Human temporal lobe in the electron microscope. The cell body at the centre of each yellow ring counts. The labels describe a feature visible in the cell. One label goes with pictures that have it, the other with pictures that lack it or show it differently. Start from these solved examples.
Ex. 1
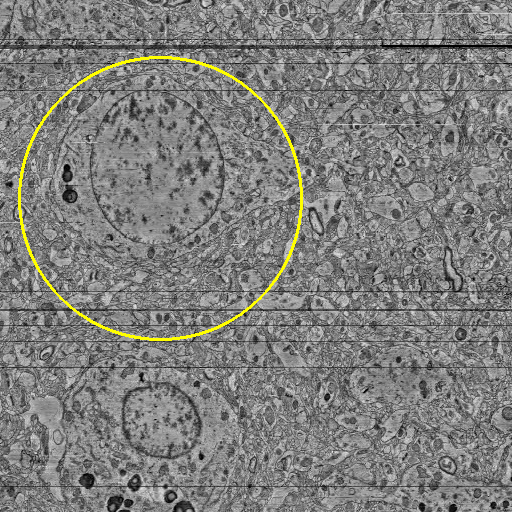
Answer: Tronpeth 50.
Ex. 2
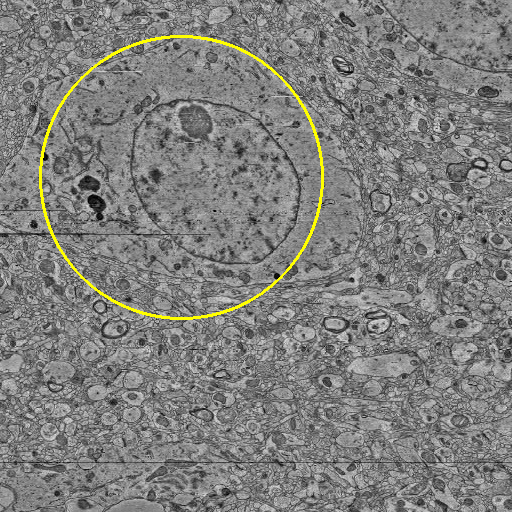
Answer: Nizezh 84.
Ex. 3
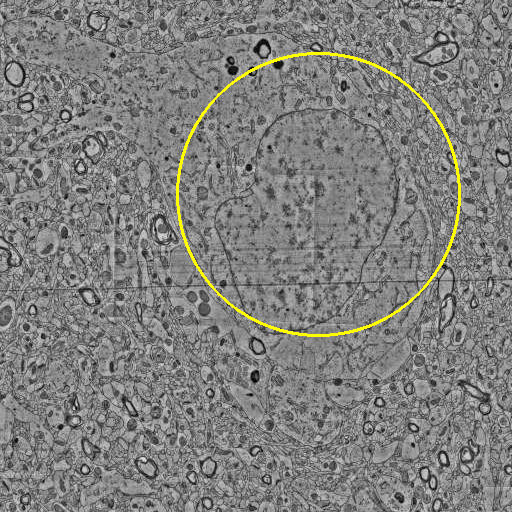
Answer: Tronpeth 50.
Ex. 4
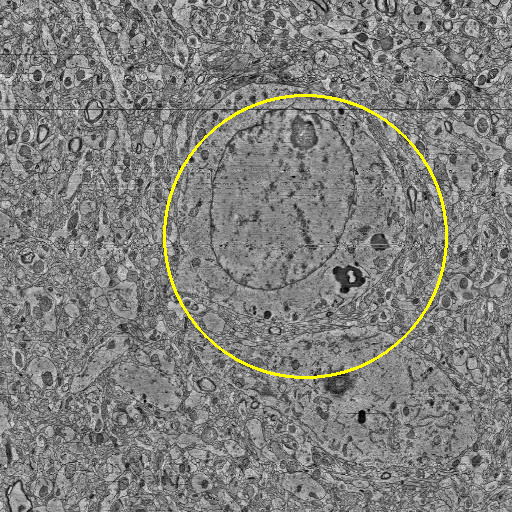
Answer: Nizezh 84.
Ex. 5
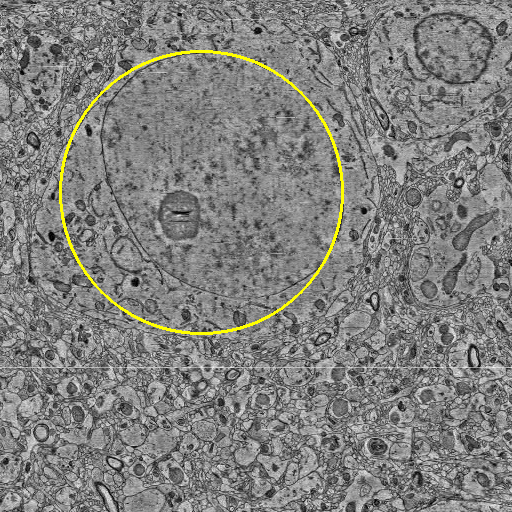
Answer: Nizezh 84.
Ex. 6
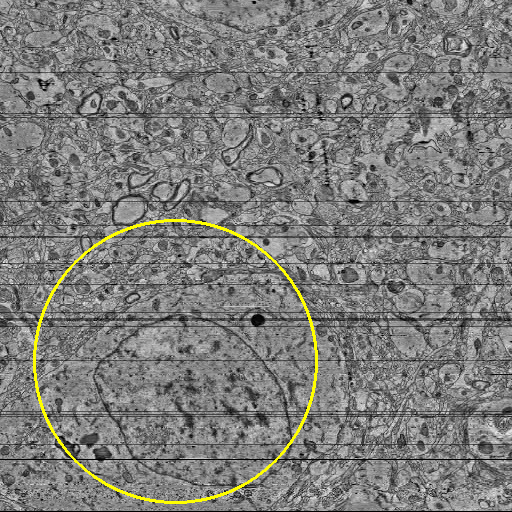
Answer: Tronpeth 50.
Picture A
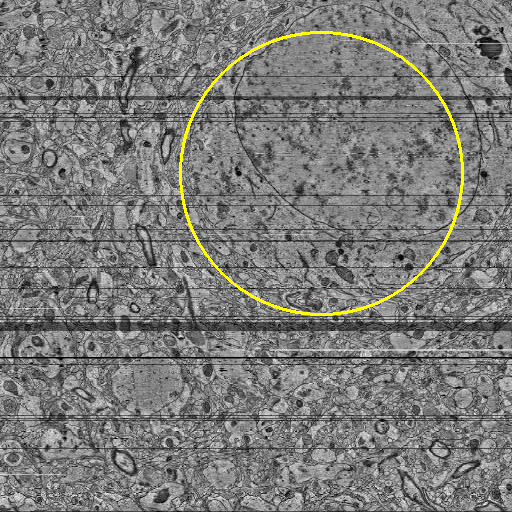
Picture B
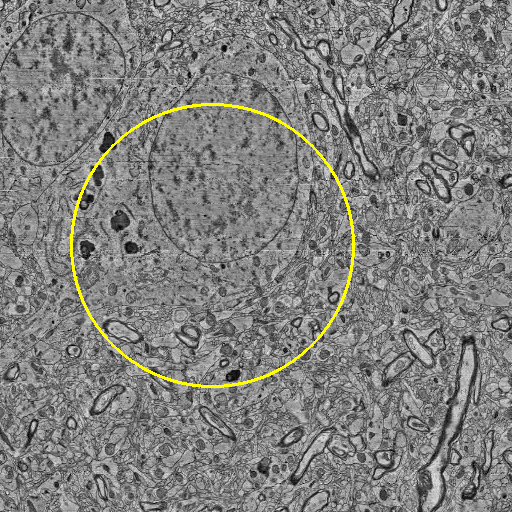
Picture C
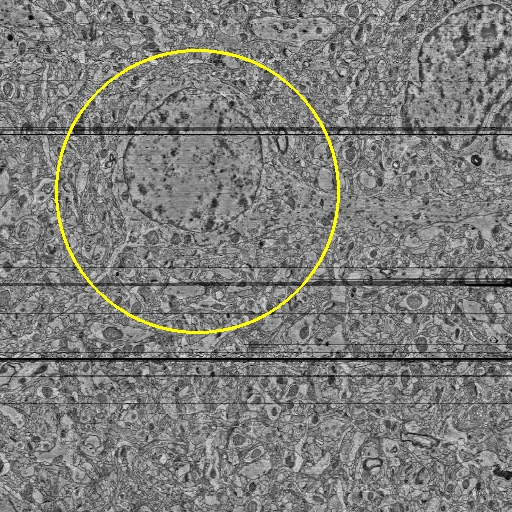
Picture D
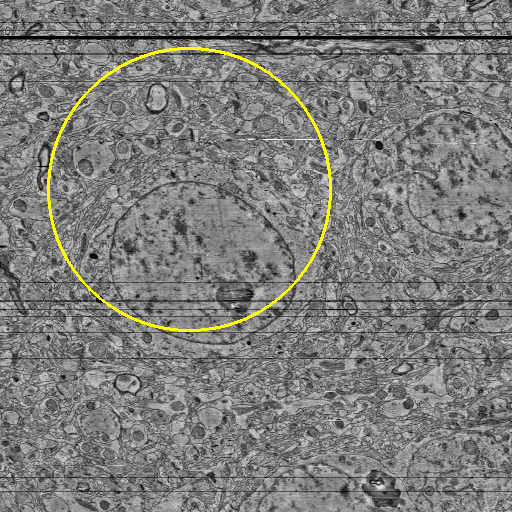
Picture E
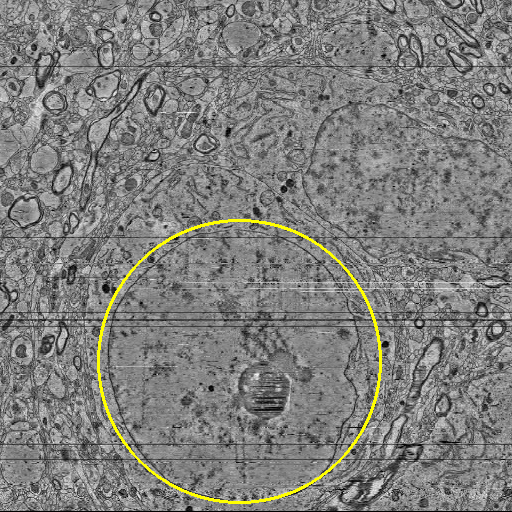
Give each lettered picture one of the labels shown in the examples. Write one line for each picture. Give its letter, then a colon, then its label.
A: Tronpeth 50.
B: Tronpeth 50.
C: Tronpeth 50.
D: Nizezh 84.
E: Nizezh 84.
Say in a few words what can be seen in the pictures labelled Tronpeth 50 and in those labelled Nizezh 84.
Seen in Tronpeth 50: no nucleolus seen; seen in Nizezh 84: nucleolus seen.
